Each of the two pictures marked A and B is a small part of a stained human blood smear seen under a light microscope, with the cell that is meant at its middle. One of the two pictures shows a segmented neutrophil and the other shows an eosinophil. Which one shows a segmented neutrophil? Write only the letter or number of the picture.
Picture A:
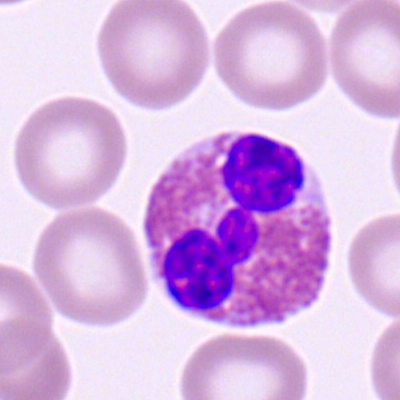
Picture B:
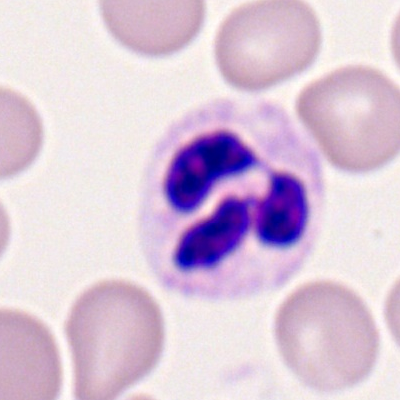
B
